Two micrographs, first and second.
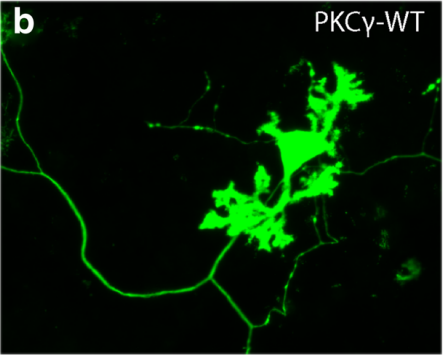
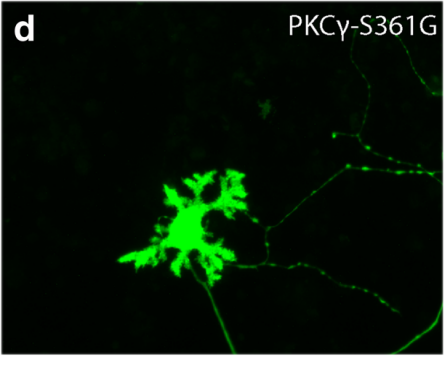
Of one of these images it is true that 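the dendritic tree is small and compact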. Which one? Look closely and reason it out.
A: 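Second image: the dendrites form a small, tight cluster hugging the cell body. First image: the dendrites spread farther from the cell body in larger branched lobes. So: the second image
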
